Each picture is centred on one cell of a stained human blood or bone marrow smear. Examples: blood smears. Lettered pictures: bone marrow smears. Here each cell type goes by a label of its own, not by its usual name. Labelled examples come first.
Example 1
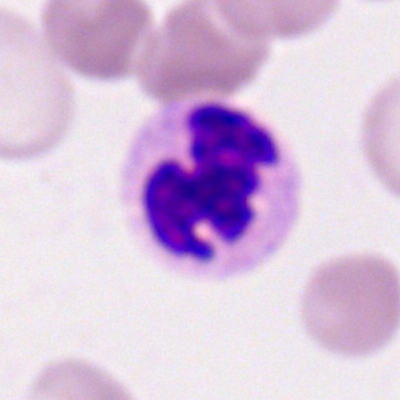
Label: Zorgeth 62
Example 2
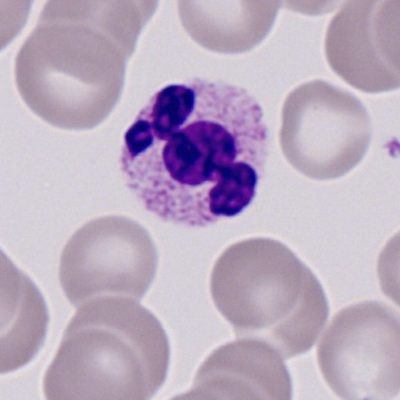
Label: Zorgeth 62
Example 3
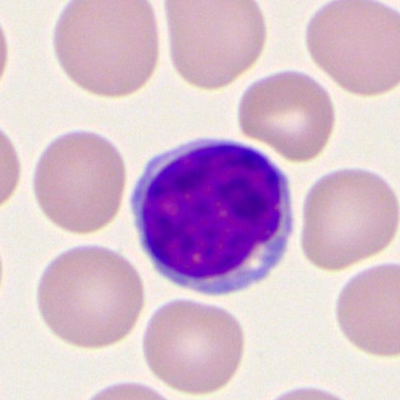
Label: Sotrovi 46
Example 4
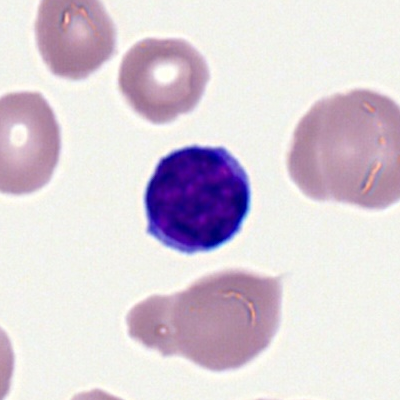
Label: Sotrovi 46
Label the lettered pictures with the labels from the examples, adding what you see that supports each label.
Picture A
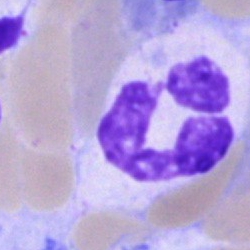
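Zorgeth 62: Plentiful pale lilac-grey cytoplasm surrounds the nucleus and fills the centre of the ring.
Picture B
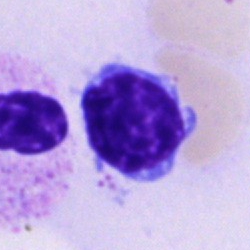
Sotrovi 46: The cytoplasm forms only a thin rim around the nucleus.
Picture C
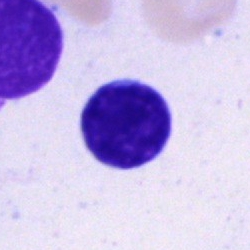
Sotrovi 46: Cytoplasm is scant, at most a very thin rim around the nucleus.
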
